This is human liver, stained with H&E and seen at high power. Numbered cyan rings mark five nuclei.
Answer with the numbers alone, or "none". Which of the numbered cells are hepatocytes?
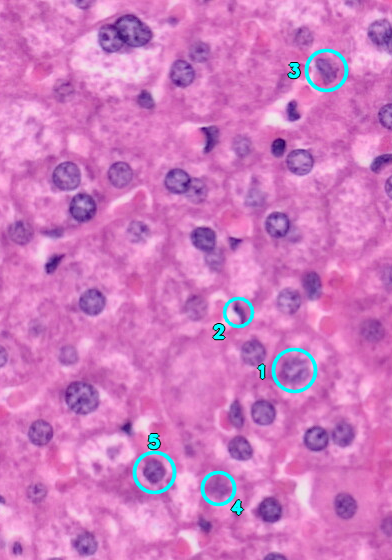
1, 4, 5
